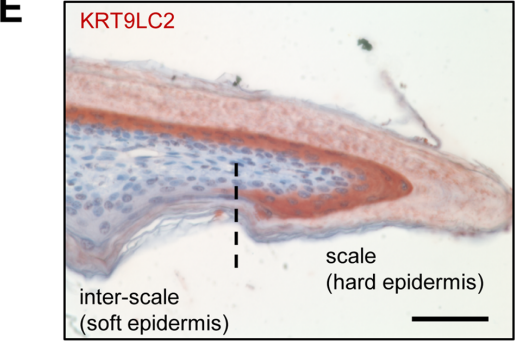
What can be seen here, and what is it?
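On the scale side, the basal and lower layers of keratinocytes with blue oval nuclei are overlain by a thick, intensely red-stained band of flattened upper cells, capped by paler, lightly red, layered cornified material. On the inter-scale side, the epidermis shows blue nuclei and thin cornified layers without the strong red band.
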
